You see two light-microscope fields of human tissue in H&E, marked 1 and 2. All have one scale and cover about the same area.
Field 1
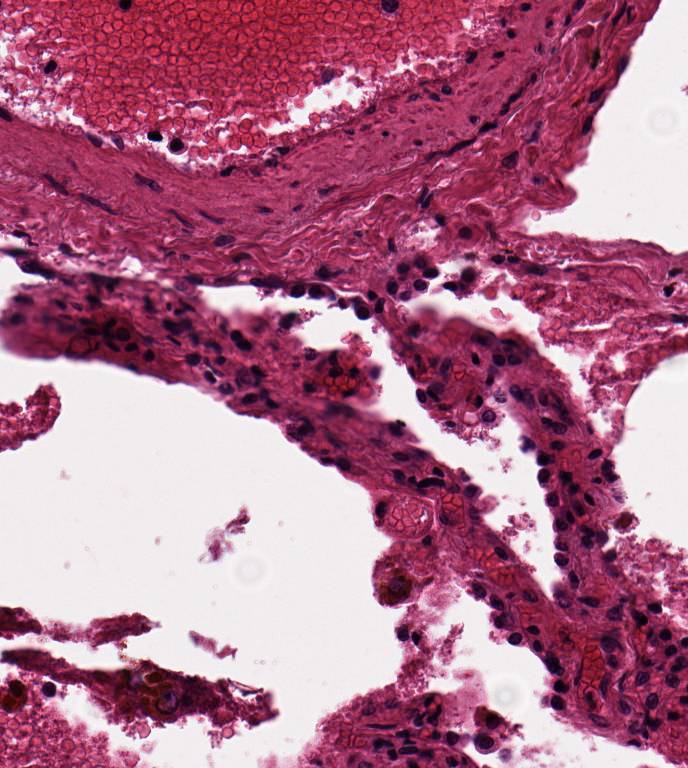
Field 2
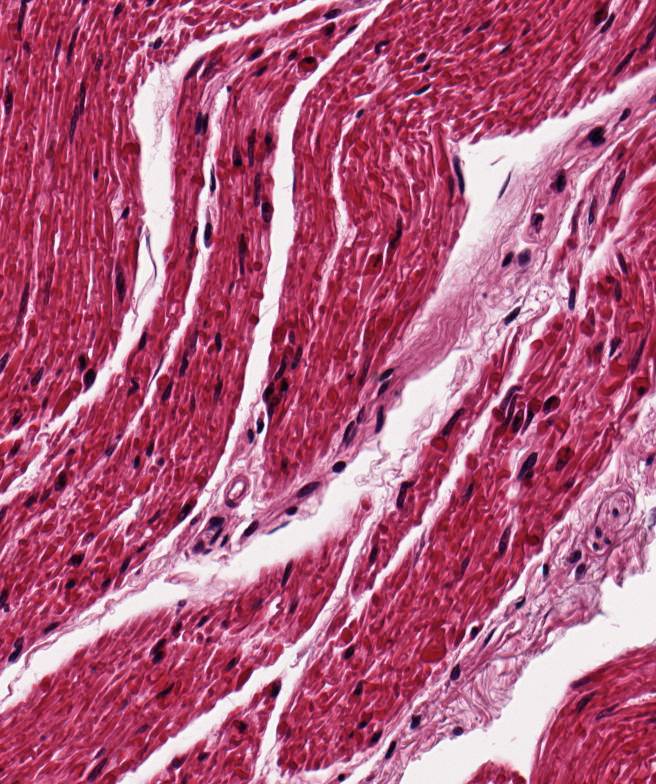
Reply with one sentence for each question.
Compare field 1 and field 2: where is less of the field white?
Unstained space takes up less of field 2 than of field 1.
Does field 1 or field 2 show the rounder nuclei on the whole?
Rounder nuclei lie in field 1.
